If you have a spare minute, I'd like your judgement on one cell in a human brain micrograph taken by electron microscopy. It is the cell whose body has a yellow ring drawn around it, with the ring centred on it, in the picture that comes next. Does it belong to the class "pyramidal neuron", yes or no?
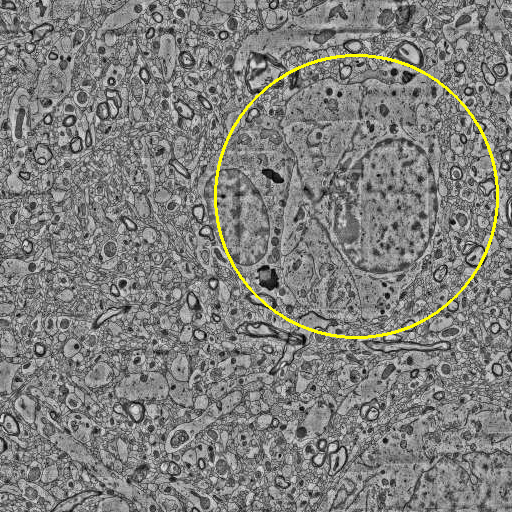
No, it belongs to another class.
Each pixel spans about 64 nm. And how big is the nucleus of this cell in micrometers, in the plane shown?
About 9 by 6 micrometers for the nucleus, in this plane.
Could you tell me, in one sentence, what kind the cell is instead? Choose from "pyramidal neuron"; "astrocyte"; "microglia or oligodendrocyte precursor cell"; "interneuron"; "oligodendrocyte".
The cell at the ring centre is a microglial cell or oligodendrocyte precursor cell.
